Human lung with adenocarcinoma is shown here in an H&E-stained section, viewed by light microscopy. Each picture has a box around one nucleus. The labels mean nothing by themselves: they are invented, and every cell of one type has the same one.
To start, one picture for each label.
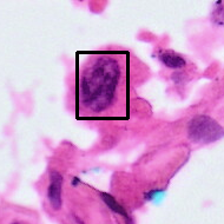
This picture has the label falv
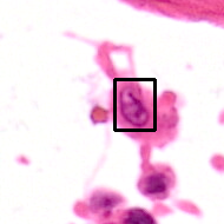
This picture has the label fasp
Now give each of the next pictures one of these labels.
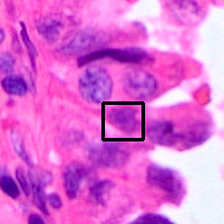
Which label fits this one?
falv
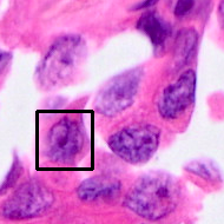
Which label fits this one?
falv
